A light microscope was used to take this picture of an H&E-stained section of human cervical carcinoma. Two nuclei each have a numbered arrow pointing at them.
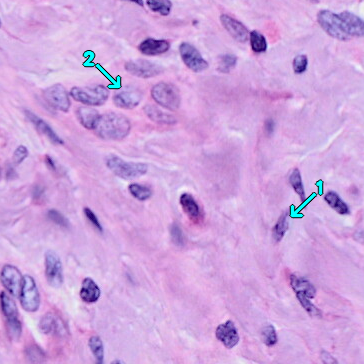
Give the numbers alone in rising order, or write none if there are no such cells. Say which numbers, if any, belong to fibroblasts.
1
